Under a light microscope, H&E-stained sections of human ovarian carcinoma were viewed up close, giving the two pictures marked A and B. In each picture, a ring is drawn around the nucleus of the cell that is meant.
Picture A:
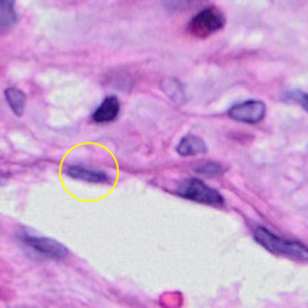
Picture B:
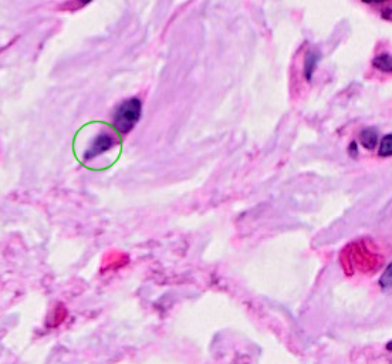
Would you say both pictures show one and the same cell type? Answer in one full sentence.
No, picture A shows an endothelial cell and picture B shows a fibroblast.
